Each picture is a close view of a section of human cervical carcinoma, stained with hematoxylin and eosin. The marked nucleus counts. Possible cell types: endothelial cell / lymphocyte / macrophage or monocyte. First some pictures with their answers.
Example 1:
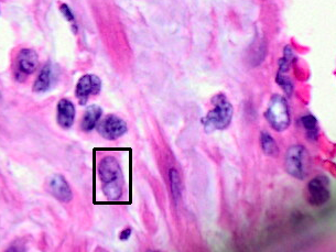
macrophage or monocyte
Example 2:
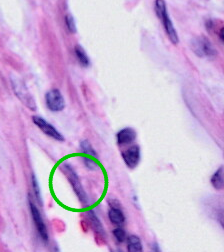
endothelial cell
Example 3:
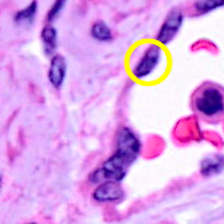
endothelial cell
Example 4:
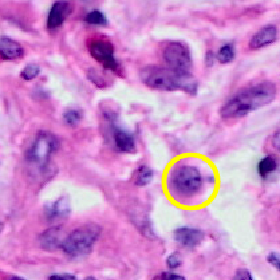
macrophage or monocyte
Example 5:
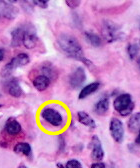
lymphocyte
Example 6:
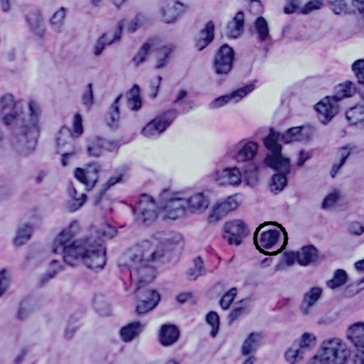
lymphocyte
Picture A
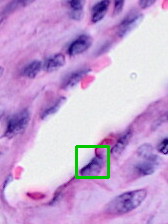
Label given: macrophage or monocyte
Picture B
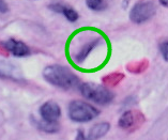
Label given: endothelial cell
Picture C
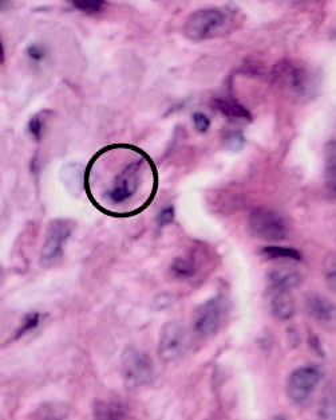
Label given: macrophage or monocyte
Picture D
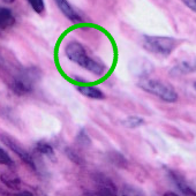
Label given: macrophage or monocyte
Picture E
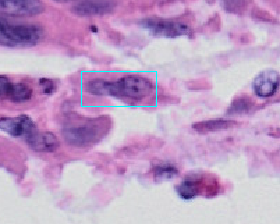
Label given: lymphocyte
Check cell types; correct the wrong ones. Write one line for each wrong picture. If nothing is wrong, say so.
A: endothelial cell, not macrophage or monocyte
E: macrophage or monocyte, not lymphocyte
